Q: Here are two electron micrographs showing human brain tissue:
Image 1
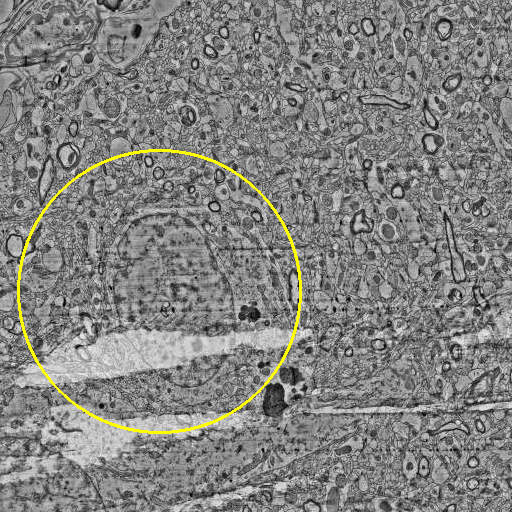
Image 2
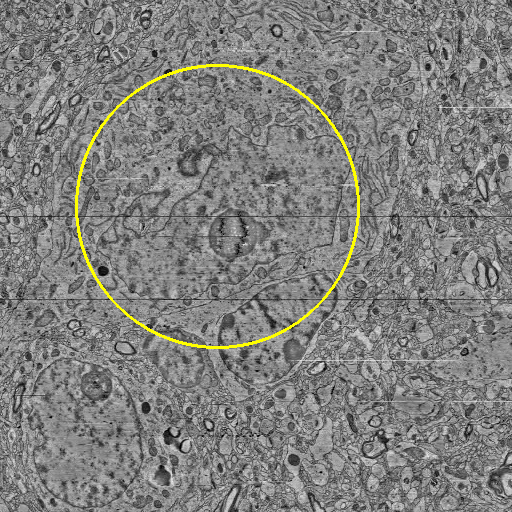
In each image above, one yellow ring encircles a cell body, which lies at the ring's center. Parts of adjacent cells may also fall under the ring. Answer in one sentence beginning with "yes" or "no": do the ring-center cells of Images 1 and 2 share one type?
Yes, in Images 1 and 2, the ring-center cells are both of one type.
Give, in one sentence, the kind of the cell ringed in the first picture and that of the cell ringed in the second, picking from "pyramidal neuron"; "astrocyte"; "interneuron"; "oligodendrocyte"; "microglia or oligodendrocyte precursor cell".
Both pictures show an interneuron at the centre of the ring.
